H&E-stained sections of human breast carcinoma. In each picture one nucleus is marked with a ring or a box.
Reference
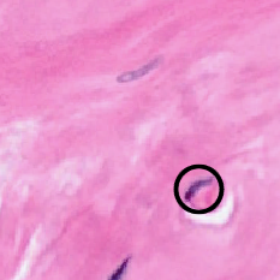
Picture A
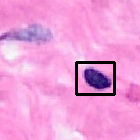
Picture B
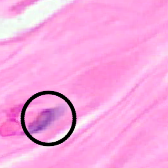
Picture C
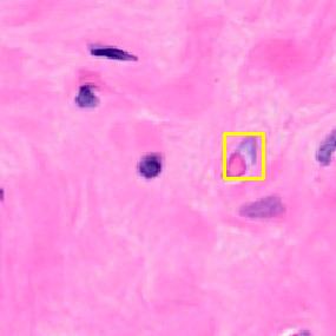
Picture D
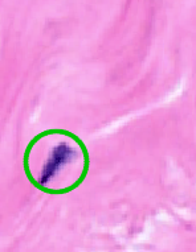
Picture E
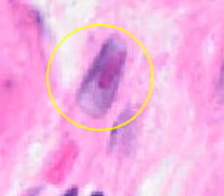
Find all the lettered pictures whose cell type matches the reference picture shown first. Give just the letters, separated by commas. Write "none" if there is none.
B, C, E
